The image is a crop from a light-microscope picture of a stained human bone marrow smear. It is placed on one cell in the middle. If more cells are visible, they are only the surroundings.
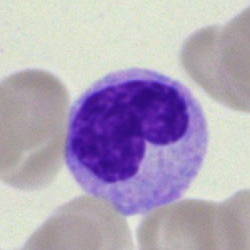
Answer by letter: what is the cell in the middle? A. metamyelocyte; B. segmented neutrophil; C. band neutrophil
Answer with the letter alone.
A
